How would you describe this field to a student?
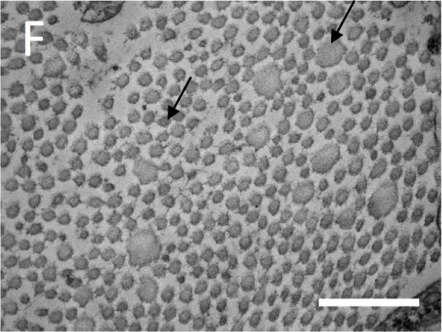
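Extracellular matrix with collagen fibrils cut in cross section fills the field. The fibrils are of very unequal diameter, with scattered large, paler profiles among small dark ones, and they lie loosely with clear gaps between them.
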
